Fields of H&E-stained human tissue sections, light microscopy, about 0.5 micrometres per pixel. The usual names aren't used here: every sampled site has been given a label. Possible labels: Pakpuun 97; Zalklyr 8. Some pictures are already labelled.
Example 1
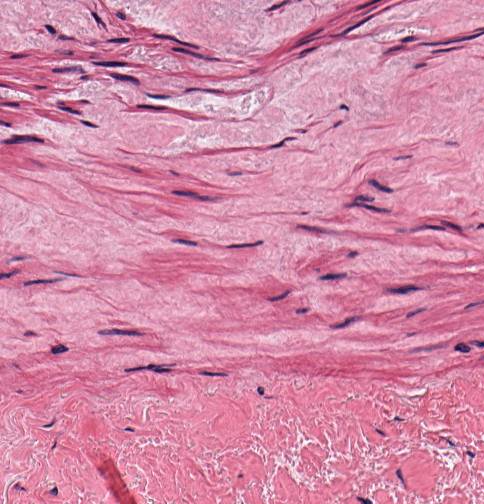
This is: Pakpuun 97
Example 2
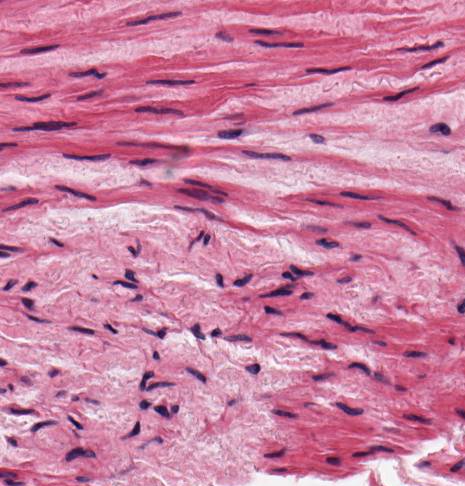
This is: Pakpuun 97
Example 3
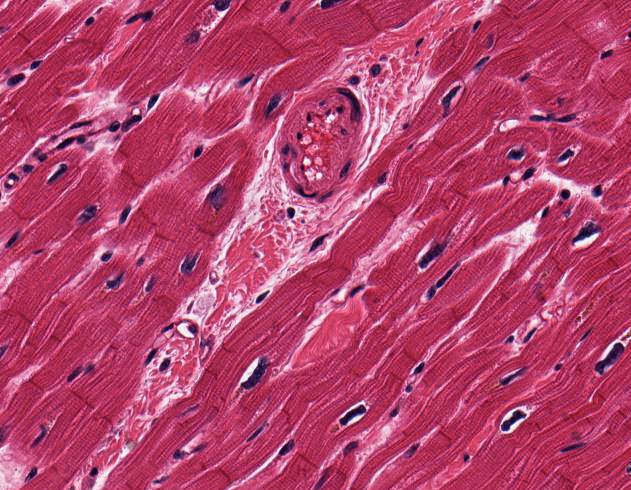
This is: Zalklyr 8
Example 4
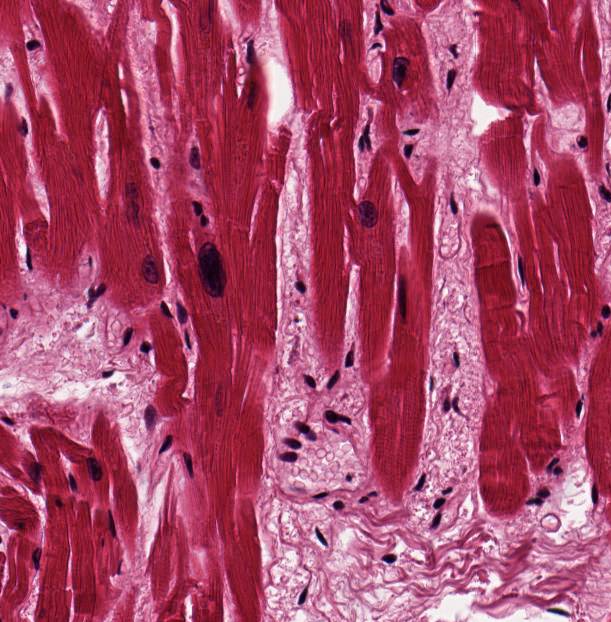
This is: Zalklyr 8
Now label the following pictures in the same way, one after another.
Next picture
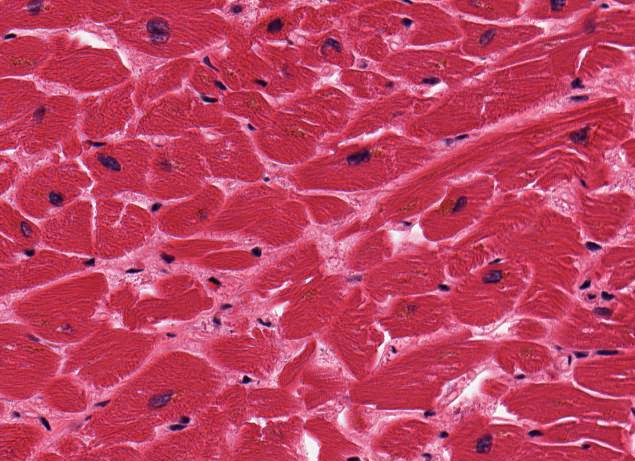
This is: Zalklyr 8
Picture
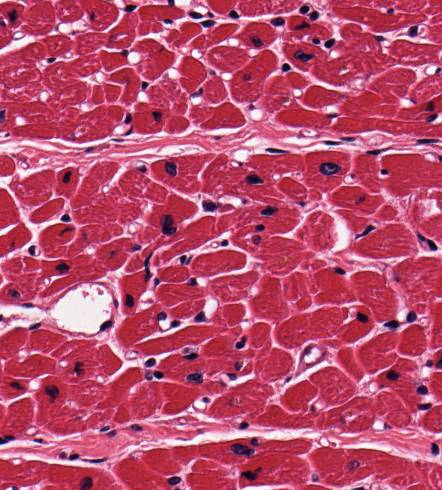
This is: Zalklyr 8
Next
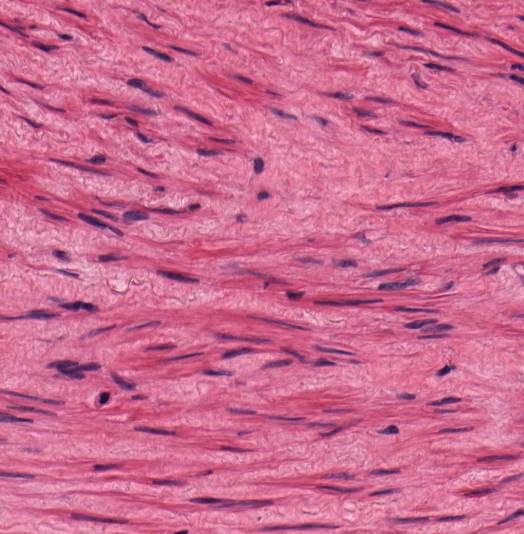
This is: Pakpuun 97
